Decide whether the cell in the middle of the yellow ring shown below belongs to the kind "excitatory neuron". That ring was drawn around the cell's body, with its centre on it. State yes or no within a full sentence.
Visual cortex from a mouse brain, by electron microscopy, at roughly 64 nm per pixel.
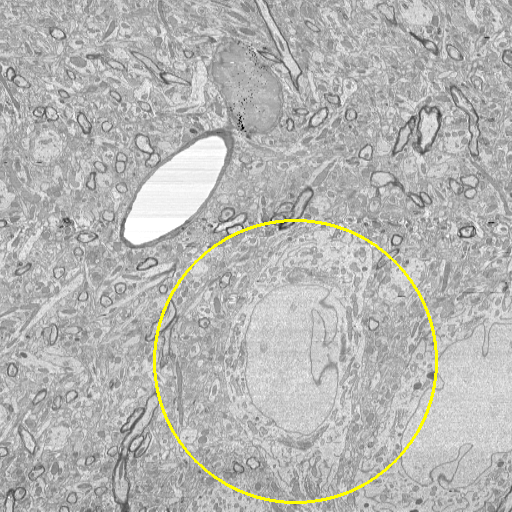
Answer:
No, the cell whose body lies at the ring's centre in the picture belongs to a different kind.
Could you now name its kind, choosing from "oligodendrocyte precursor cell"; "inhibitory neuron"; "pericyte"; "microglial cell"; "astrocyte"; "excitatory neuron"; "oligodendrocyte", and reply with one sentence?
The cell in question here is an inhibitory neuron.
